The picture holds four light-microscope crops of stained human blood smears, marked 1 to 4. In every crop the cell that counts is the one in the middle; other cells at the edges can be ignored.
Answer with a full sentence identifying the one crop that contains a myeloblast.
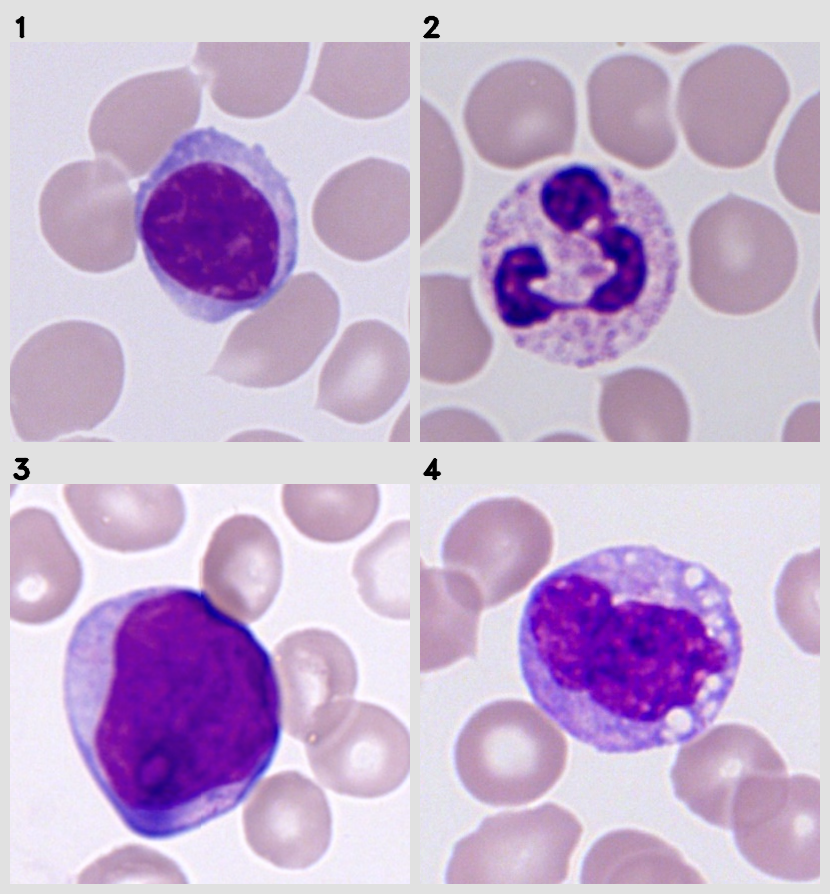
Among the crops, only crop 3 contains a myeloblast.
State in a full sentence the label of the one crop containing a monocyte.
Of the labeled crops, the one with a monocyte is crop 4.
